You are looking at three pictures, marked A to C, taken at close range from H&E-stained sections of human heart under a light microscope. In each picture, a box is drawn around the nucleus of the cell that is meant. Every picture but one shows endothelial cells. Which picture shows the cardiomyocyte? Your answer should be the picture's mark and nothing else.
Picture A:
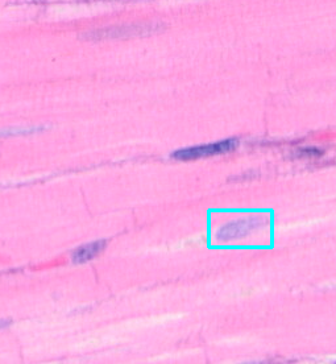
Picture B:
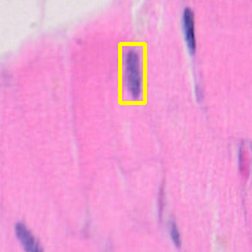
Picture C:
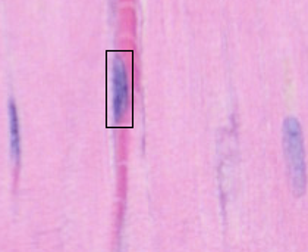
A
